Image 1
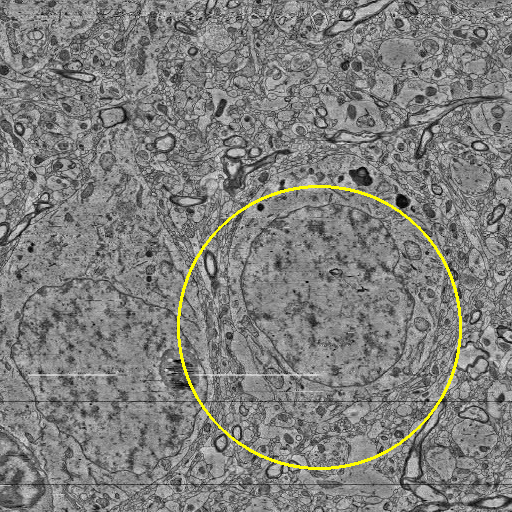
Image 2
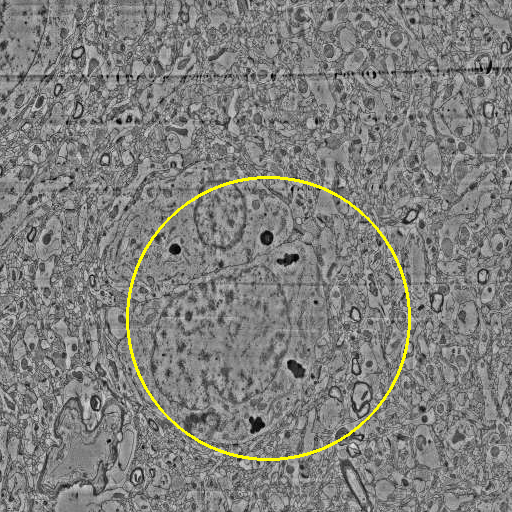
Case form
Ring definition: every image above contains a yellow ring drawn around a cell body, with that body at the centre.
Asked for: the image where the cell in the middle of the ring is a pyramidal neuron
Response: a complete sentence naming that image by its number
Image 1 is the one.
